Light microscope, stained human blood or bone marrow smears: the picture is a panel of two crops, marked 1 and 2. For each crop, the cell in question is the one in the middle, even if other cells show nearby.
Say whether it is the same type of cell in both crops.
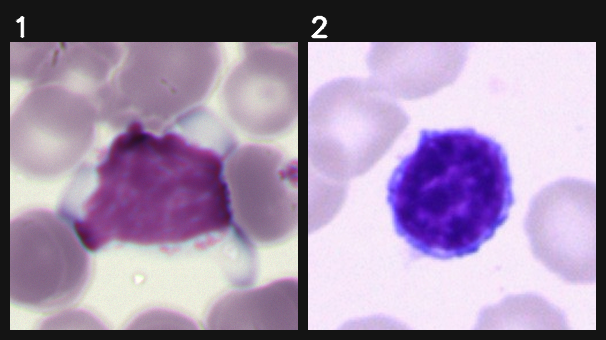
yes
